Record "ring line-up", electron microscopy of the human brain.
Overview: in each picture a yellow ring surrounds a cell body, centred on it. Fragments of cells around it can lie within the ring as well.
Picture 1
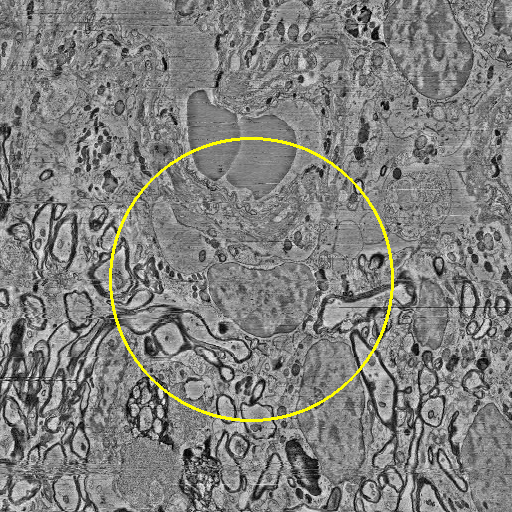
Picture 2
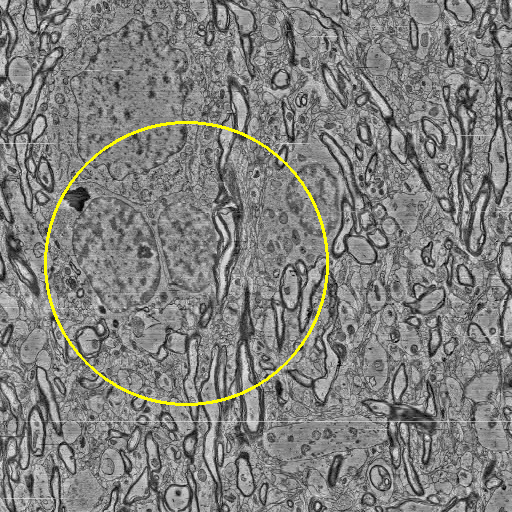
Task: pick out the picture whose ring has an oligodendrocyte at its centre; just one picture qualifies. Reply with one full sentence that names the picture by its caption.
Going by the cell at the ring's centre, the right choice is Picture 2.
